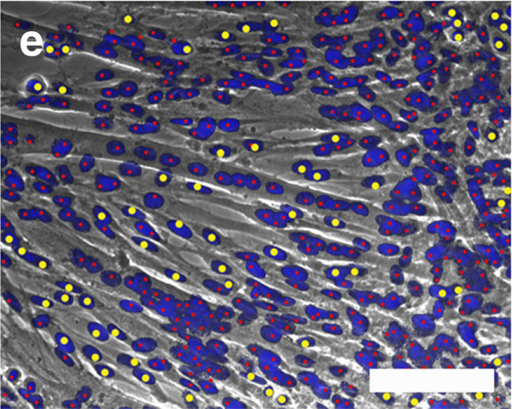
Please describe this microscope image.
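A dense culture of elongated, spindle-shaped muscle cells in grey phase contrast runs roughly horizontally and diagonally, with oval blue nuclei overlaid on them. Many nuclei sit in rows within long, multinucleated cells, the myotubes, while others lie singly in shorter cells, the myoblasts.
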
